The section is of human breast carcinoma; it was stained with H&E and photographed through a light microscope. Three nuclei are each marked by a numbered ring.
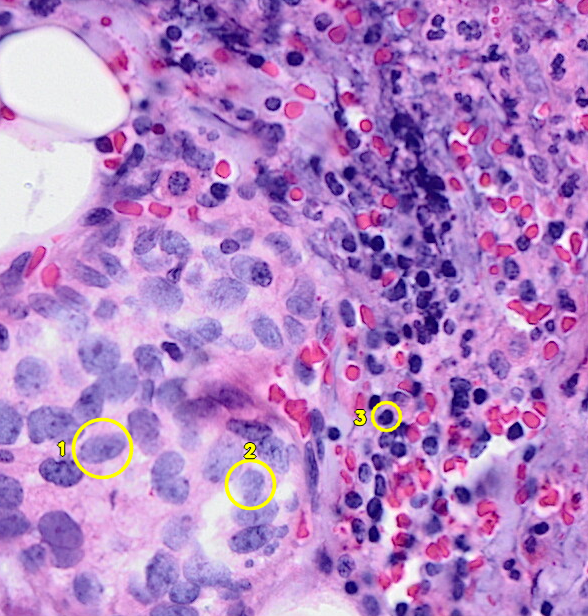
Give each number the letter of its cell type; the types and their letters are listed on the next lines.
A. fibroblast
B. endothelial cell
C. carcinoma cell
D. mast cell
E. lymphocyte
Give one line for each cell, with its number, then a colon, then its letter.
1: C
2: C
3: E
